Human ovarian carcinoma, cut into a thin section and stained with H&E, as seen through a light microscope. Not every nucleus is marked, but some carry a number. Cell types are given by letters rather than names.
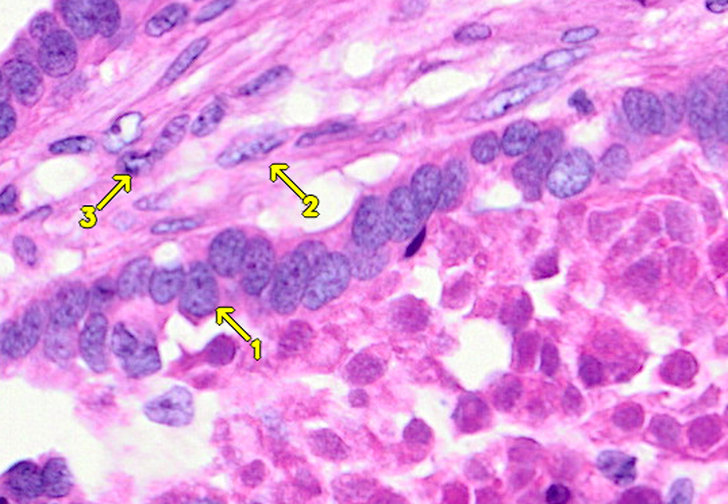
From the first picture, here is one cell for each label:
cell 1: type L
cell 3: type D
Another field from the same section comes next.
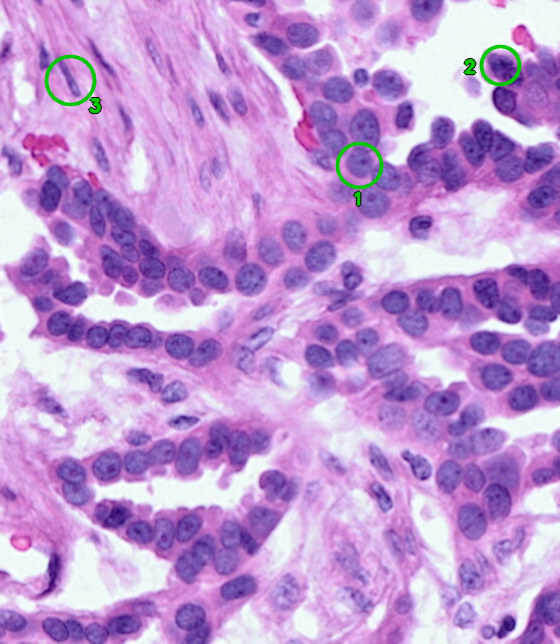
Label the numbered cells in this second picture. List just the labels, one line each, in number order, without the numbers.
type L
type L
type D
